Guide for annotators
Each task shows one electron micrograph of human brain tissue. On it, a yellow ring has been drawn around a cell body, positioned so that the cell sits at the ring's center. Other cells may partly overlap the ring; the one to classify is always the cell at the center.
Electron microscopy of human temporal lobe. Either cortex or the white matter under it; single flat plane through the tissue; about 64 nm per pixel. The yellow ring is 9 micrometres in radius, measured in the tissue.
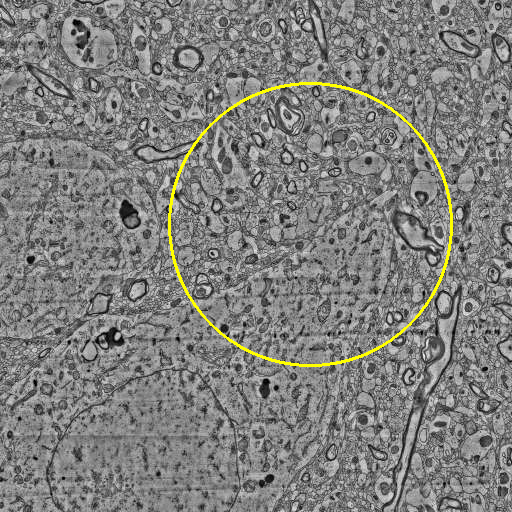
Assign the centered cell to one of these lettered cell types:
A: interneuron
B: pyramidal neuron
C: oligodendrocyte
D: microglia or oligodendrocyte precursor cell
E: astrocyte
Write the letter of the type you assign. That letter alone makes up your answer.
D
